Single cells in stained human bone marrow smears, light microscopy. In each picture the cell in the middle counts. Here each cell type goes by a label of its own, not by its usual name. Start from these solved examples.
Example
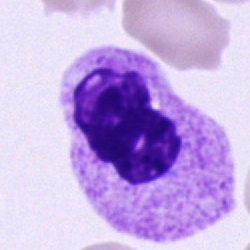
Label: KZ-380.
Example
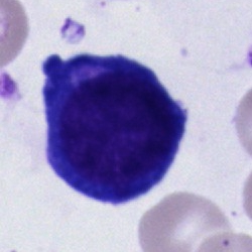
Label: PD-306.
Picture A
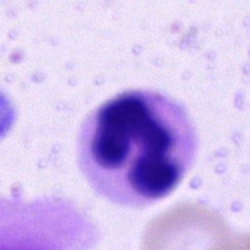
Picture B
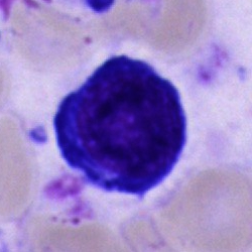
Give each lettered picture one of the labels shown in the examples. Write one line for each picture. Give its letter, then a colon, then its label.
A: KZ-380.
B: PD-306.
